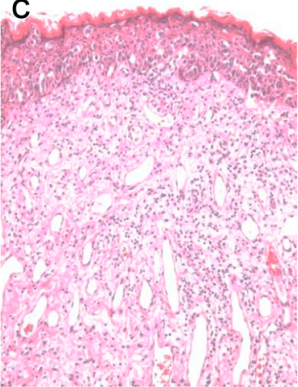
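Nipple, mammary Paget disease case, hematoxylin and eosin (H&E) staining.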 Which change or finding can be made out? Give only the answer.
Lymphocytic infiltration.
